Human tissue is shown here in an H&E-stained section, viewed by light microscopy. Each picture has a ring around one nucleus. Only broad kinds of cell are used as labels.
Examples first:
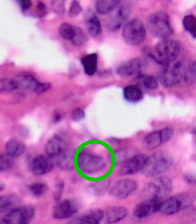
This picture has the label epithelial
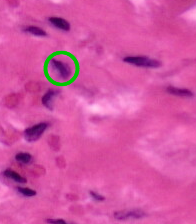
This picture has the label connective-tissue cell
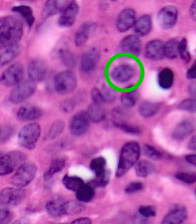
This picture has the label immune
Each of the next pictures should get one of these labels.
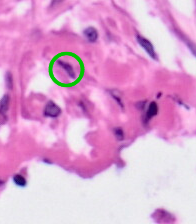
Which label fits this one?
connective-tissue cell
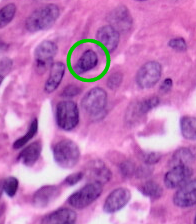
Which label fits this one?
immune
